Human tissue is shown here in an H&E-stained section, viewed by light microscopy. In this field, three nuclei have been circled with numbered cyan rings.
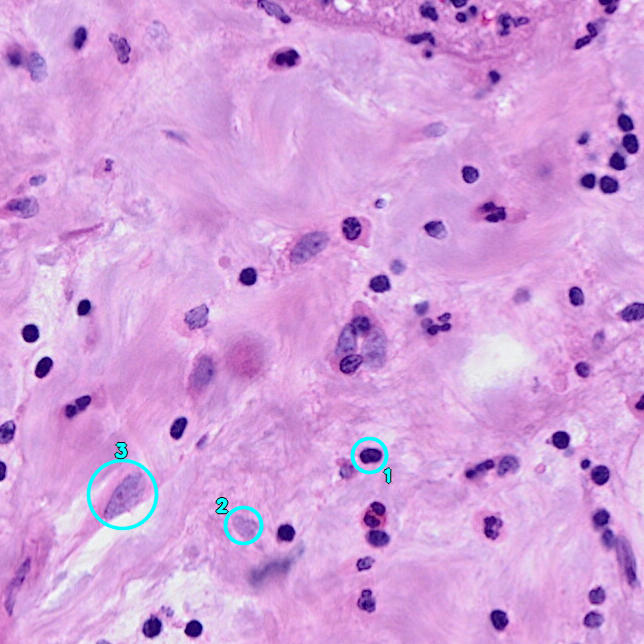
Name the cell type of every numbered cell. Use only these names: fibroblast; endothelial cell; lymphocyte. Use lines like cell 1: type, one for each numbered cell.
cell 1: lymphocyte
cell 2: fibroblast
cell 3: fibroblast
